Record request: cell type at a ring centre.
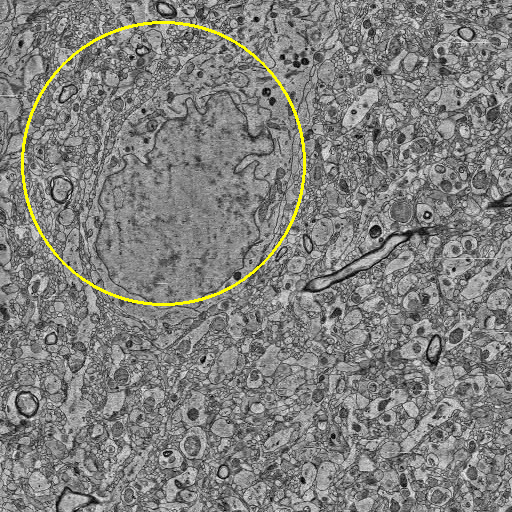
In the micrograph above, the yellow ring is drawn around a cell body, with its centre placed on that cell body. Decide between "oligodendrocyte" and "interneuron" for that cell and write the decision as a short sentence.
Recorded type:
The cell centred in the yellow ring is an interneuron.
